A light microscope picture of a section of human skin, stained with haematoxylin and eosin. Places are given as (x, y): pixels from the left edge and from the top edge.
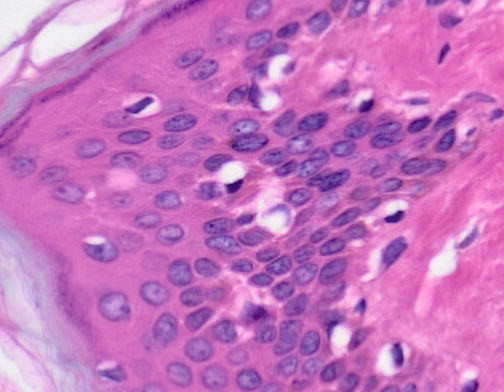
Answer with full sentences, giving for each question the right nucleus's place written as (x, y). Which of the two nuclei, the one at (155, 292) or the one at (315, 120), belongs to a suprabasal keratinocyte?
The nucleus of a suprabasal keratinocyte lies at (155, 292), not at the other position.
